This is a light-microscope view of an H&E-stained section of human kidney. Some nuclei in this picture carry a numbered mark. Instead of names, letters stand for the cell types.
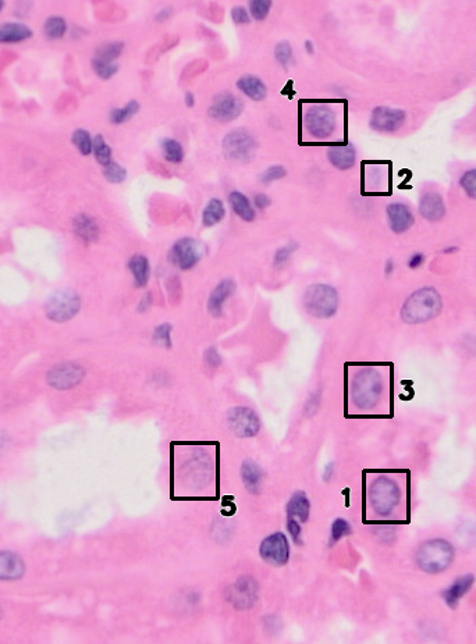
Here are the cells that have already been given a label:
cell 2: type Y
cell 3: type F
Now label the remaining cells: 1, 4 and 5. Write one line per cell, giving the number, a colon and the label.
1: type F
4: type Y
5: type F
